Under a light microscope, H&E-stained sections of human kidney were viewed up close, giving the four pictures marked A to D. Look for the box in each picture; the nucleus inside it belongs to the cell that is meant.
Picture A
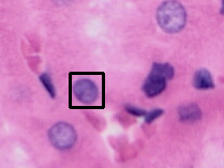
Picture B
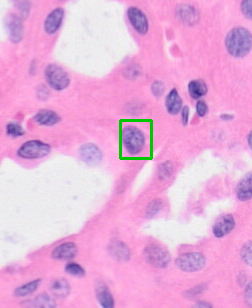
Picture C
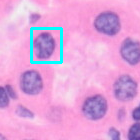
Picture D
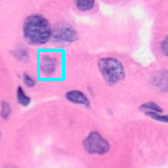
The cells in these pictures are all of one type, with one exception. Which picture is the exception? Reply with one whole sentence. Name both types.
Picture A is the odd one out: it shows a proximal tubule cell, while the others show “loop of Henle or distal tubule cells”.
